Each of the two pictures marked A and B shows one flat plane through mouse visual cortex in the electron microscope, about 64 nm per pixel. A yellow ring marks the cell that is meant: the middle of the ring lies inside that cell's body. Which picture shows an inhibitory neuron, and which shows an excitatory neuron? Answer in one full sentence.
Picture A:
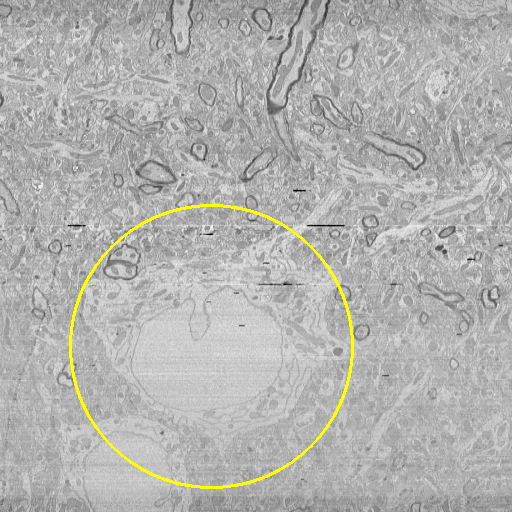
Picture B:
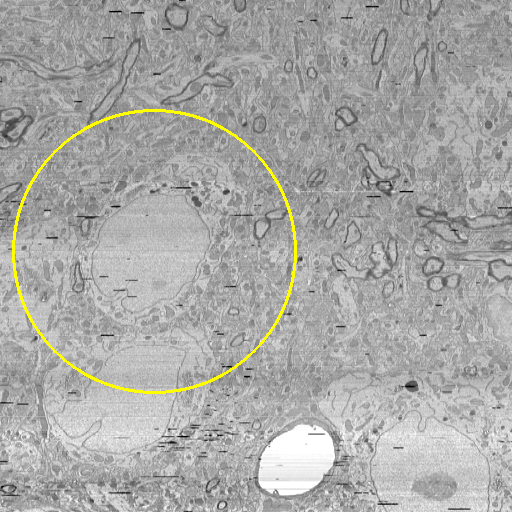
Picture A shows an excitatory neuron and picture B shows an inhibitory neuron.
